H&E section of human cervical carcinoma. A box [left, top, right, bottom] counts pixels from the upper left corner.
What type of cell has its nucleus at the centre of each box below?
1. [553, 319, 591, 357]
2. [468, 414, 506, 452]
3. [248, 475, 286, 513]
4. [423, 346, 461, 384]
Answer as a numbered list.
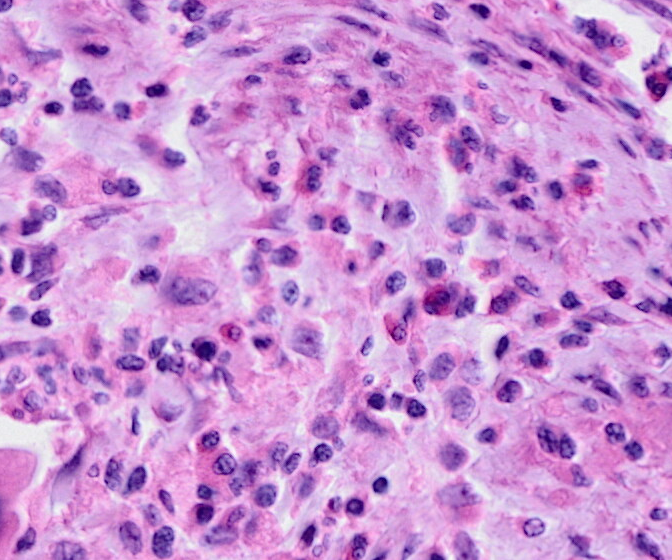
1. lymphocyte
2. lymphocyte
3. lymphocyte
4. macrophage or monocyte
